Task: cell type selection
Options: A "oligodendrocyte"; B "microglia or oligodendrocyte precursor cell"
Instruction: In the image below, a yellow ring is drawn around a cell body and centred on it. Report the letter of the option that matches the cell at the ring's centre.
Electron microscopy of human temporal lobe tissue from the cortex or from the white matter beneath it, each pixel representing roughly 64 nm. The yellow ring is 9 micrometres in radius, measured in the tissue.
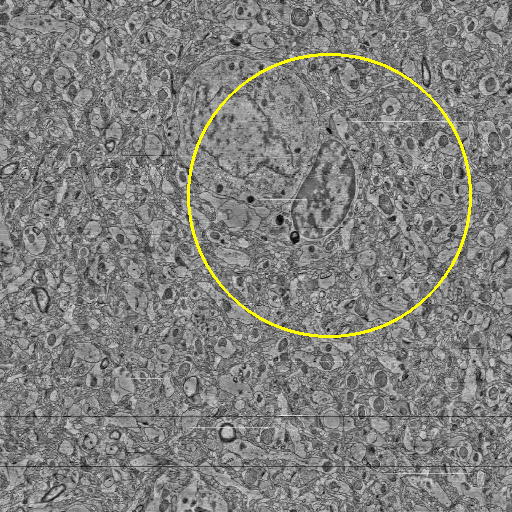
B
